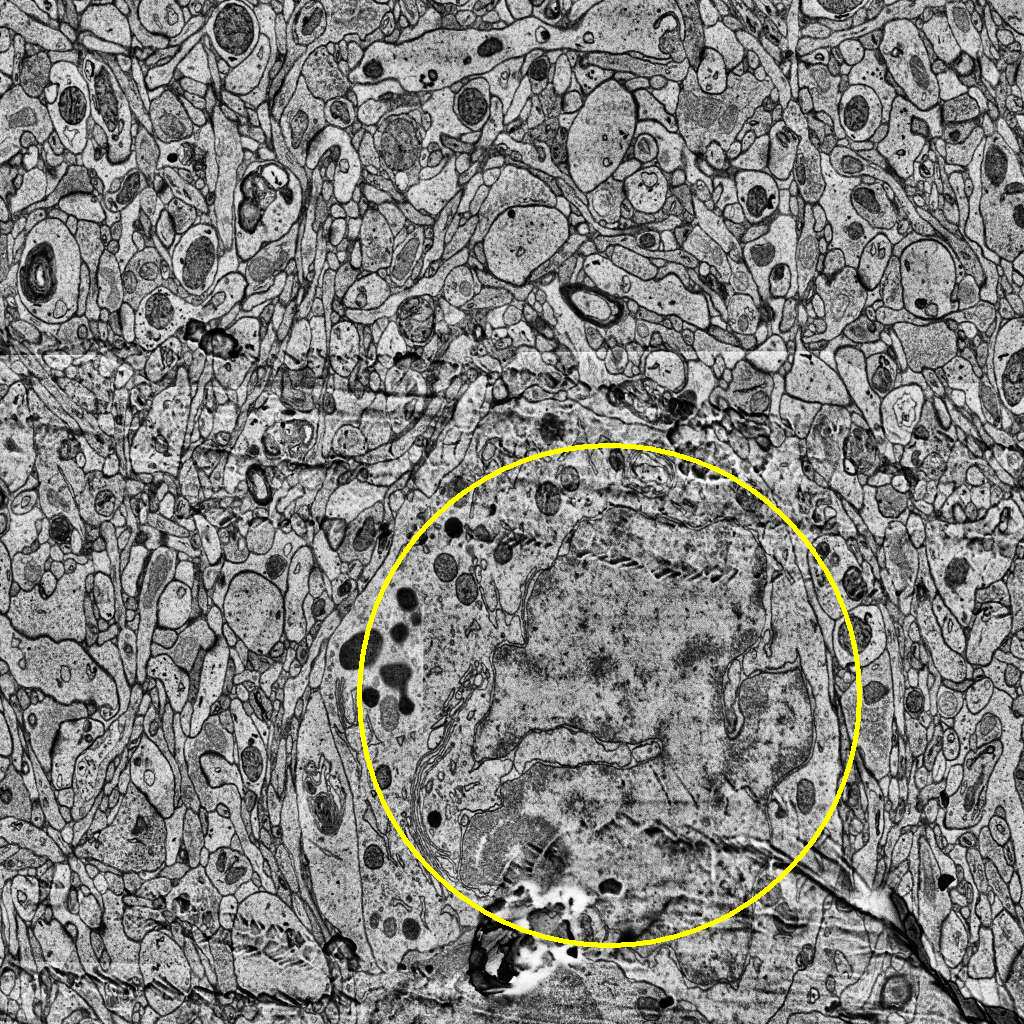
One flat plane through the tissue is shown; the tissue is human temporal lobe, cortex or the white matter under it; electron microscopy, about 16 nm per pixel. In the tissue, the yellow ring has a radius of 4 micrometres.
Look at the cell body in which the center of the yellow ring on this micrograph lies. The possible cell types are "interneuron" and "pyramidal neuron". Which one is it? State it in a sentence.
The cell at the middle of the ring is an interneuron.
